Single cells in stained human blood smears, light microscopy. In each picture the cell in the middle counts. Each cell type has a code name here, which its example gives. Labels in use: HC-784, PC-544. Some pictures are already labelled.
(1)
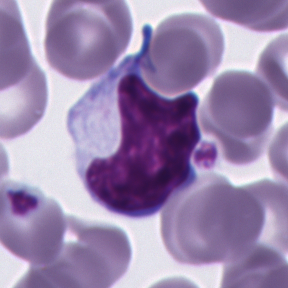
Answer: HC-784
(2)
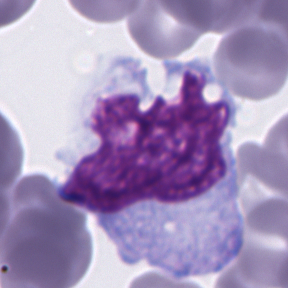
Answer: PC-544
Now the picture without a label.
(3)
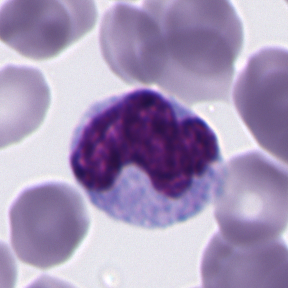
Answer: PC-544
